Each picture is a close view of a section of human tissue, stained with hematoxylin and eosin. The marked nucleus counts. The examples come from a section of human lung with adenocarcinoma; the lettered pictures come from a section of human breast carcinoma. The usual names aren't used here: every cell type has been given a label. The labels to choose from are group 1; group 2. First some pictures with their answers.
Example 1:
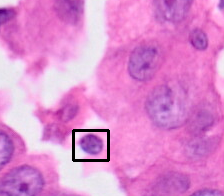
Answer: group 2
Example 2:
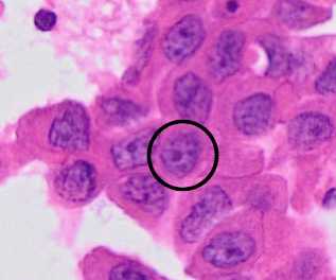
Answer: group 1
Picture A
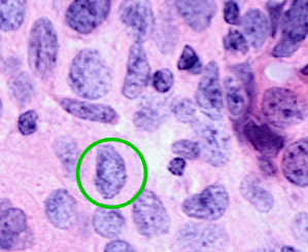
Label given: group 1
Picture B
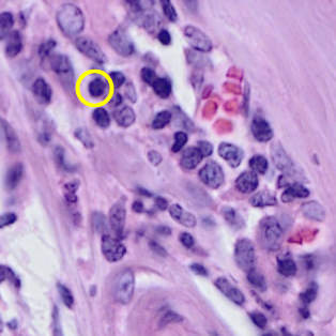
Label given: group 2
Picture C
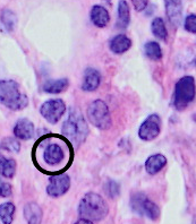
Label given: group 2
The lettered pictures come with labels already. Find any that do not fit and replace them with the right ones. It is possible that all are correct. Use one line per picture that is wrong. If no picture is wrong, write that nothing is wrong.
Every label is right.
